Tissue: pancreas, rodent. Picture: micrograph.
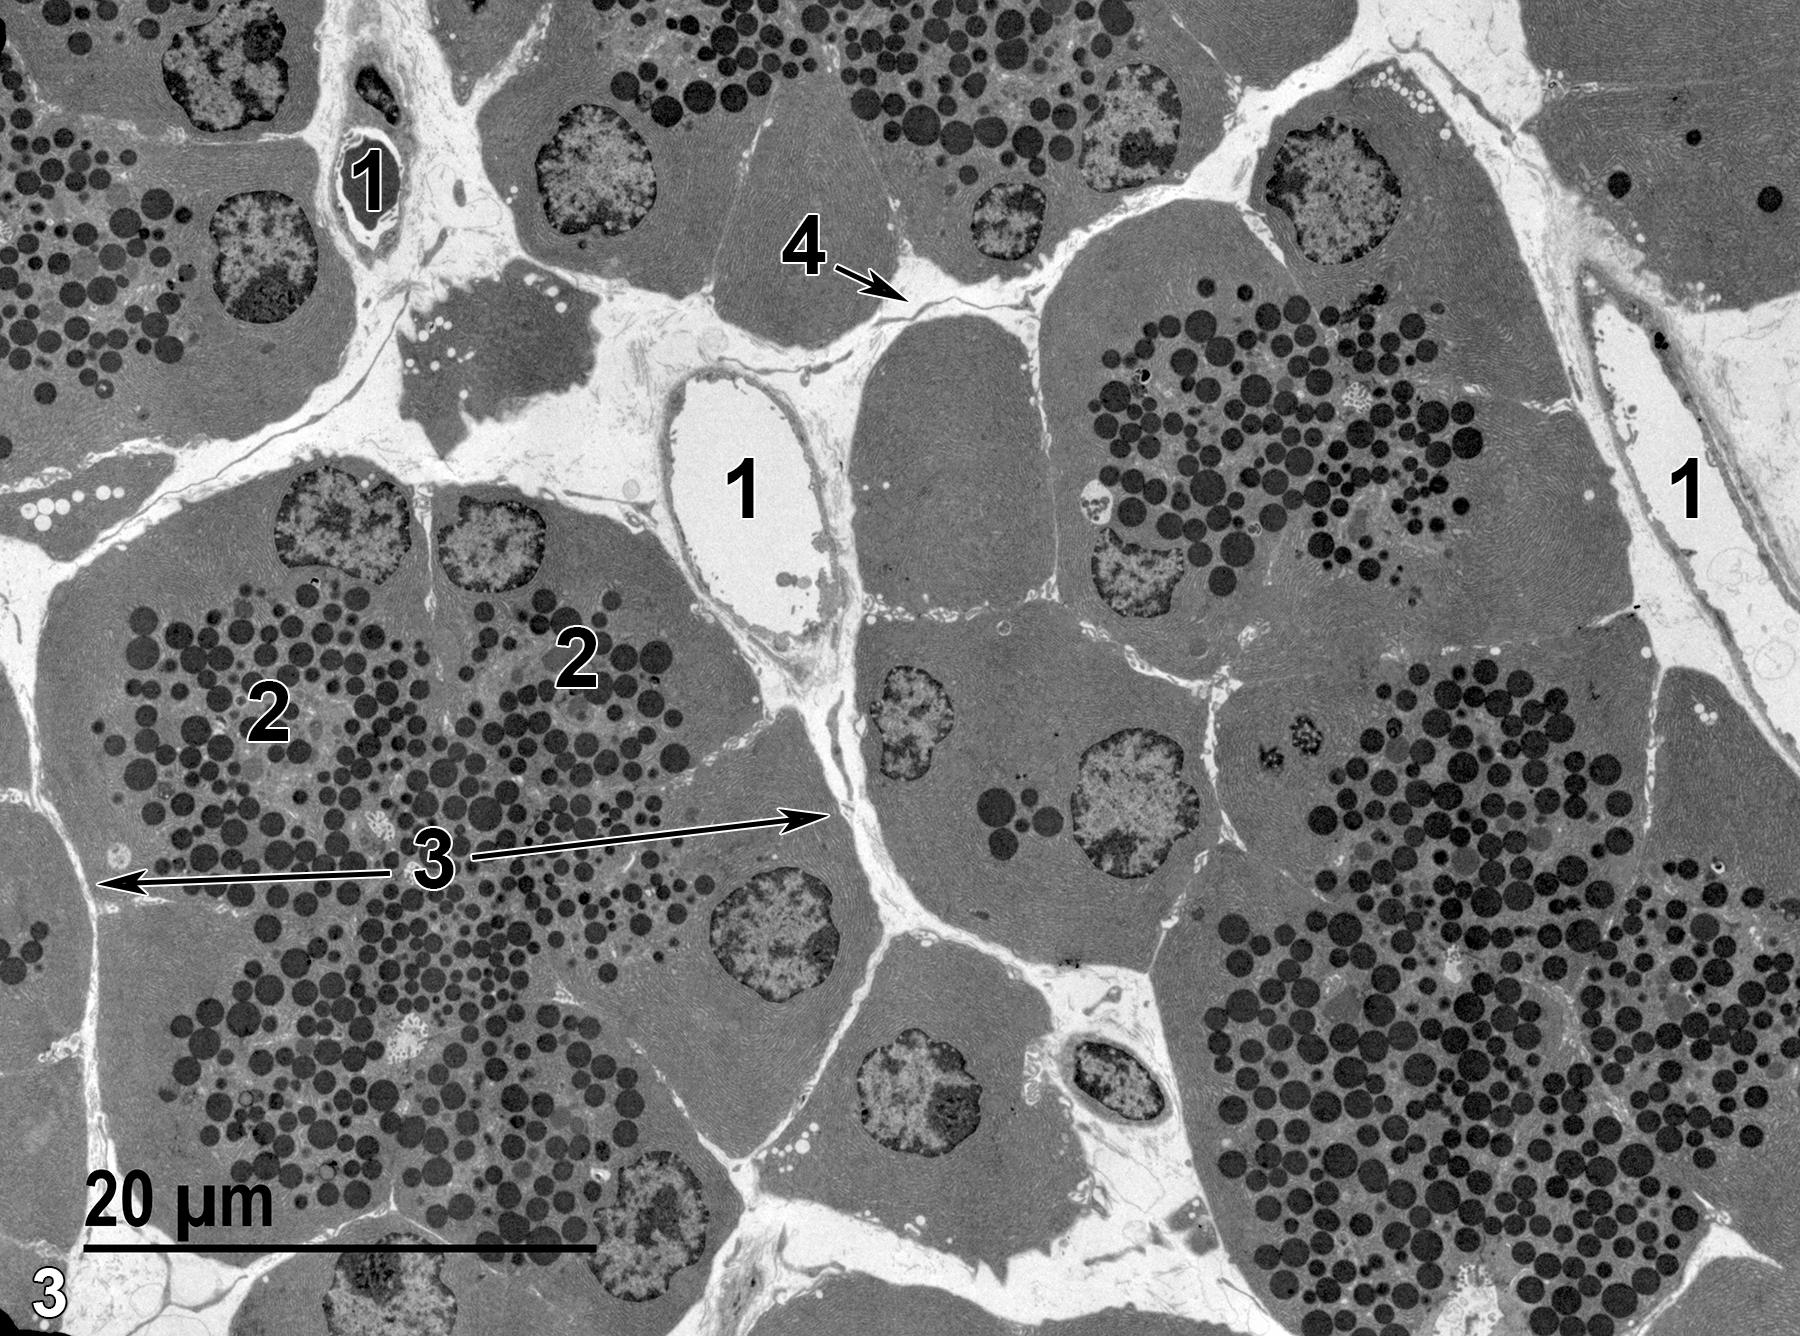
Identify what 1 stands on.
Capillaries.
